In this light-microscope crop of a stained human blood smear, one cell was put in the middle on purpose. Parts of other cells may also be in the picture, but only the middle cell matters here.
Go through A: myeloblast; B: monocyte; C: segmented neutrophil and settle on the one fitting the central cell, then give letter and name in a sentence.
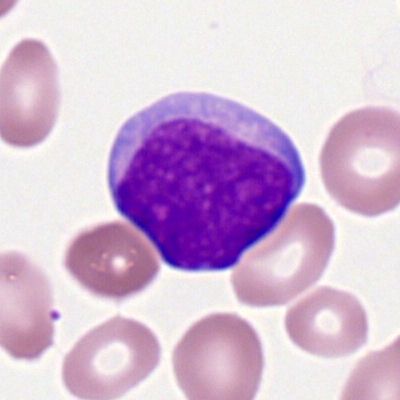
What option A states is correct, the central cell being a myeloblast.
